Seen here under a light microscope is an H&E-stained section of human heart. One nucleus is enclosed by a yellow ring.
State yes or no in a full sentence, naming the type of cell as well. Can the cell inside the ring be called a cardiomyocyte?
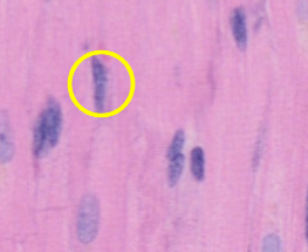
No, the cell inside the ring is not a cardiomyocyte; an endothelial cell is what it is.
